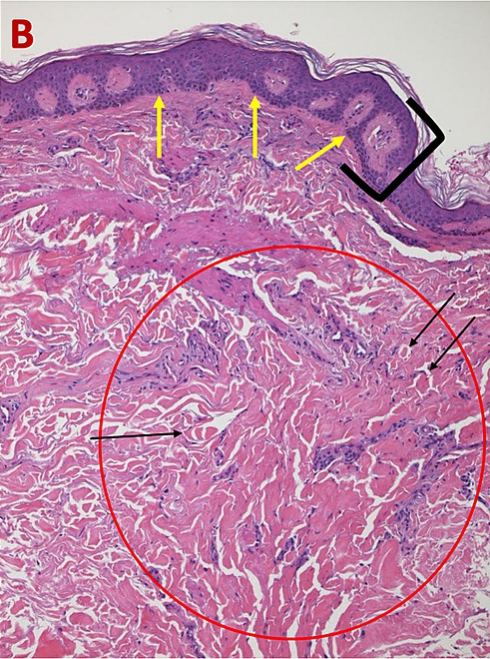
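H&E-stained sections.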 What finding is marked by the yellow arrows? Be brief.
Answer: Basilar hyperpigmentation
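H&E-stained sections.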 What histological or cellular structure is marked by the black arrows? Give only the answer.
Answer: trapped collagen bundles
